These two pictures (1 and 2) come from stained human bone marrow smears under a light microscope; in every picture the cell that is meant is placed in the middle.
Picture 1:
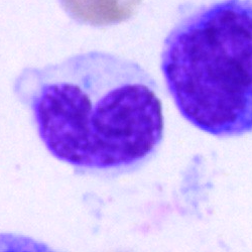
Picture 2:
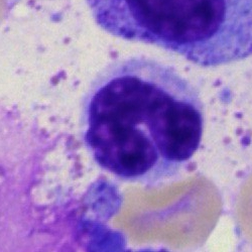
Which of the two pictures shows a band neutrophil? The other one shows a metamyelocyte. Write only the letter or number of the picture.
2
